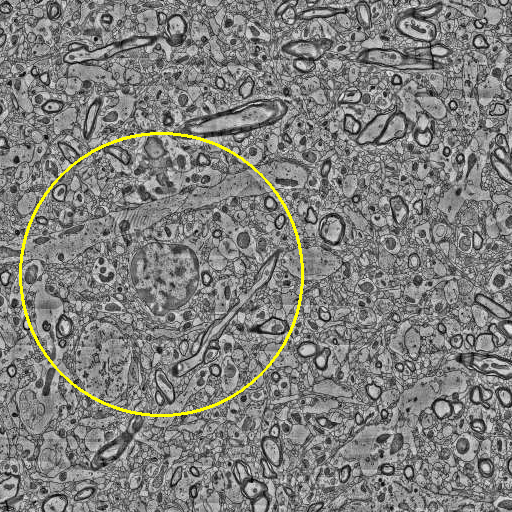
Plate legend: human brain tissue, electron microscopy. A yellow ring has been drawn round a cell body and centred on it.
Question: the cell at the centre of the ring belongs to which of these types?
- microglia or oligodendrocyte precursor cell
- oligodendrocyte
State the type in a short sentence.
The cell in the middle of the ring is a microglial cell or oligodendrocyte precursor cell.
